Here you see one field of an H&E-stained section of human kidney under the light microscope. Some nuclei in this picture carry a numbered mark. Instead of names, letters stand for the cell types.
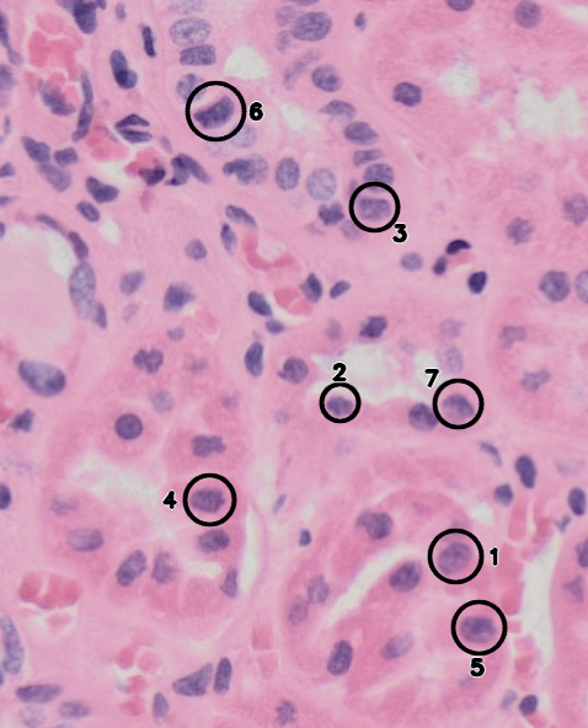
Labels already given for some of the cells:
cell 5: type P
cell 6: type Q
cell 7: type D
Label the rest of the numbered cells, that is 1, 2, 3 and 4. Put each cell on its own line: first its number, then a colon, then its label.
1: type P
2: type D
3: type Q
4: type P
